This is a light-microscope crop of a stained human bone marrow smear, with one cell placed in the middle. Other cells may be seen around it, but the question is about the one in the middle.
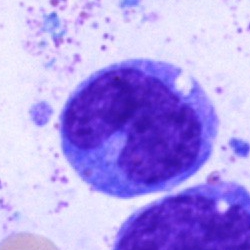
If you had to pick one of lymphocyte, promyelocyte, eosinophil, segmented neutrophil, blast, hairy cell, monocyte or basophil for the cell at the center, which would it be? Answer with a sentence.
Where the crop is centred, there is a monocyte.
